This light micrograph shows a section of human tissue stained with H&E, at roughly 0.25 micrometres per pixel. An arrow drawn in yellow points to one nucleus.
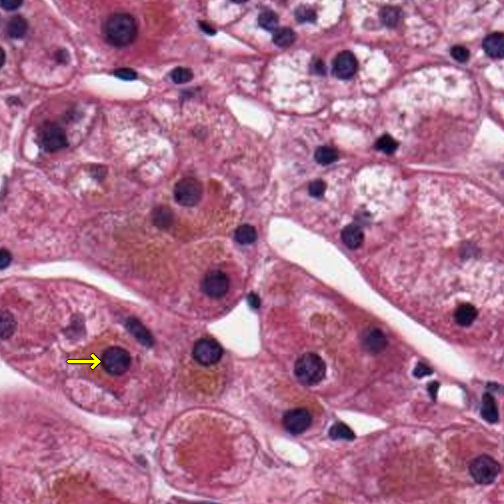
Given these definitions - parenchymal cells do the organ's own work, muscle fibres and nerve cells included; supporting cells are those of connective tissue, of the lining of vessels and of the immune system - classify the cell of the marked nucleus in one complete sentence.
The marked nucleus is that of a parenchymal cell, specifically an adrenal cortical cell.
